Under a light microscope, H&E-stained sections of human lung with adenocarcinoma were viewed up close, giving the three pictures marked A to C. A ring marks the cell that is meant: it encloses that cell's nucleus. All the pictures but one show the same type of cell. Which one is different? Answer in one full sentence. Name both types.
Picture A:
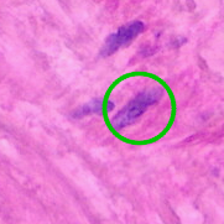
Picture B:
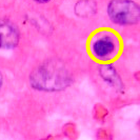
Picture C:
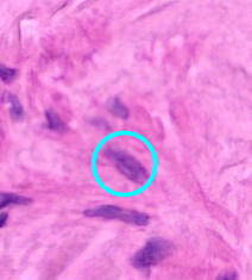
The different one is picture B; it shows a lymphocyte, whereas all the others show “smooth muscle cells or pericytes”.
